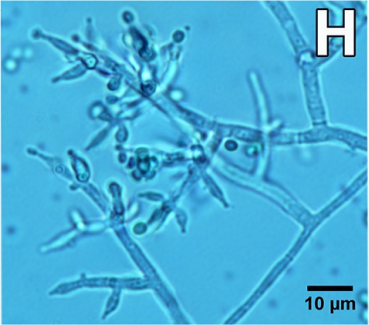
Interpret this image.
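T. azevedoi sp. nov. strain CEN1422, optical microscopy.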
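Hyphae of a filamentous fungus bearing phialides. Long, narrow, septate hyphae branch across the field. Along the branches, side branches carry clusters of short, flask-shaped phialides that are swollen near the middle and taper toward the tip. Several phialides spread out from a common point, giving an irregular whorled or tufted arrangement. Small rounded to oval conidia lie at or near the tips of the phialides and scattered among them.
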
